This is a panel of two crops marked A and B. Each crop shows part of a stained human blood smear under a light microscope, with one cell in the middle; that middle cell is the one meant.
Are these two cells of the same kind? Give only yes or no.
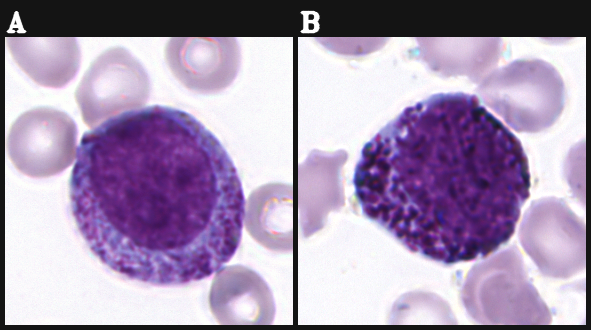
no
